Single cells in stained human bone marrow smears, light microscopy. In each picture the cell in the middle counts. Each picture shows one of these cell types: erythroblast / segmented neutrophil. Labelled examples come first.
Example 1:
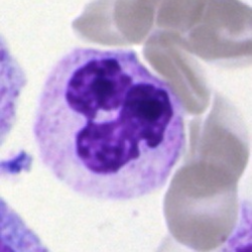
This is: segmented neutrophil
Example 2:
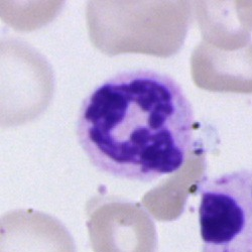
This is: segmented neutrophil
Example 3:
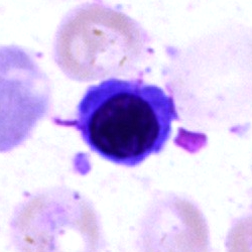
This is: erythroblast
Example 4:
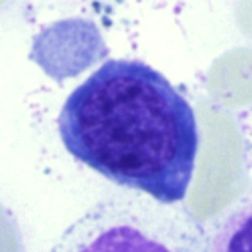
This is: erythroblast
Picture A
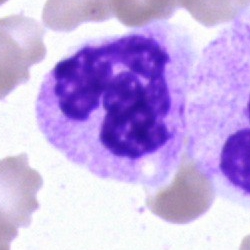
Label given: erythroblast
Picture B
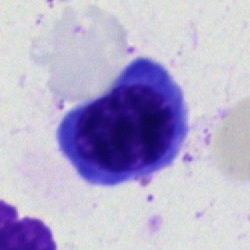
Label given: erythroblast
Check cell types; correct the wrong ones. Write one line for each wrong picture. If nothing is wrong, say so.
A should be segmented neutrophil, not erythroblast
